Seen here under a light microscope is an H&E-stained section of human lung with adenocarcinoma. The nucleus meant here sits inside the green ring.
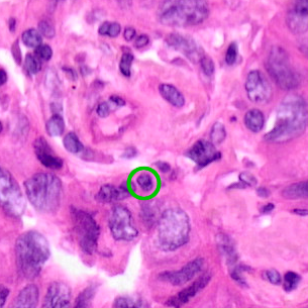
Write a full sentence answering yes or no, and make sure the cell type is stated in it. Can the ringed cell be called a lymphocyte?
Yes, the ringed cell is a lymphocyte by cell type.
